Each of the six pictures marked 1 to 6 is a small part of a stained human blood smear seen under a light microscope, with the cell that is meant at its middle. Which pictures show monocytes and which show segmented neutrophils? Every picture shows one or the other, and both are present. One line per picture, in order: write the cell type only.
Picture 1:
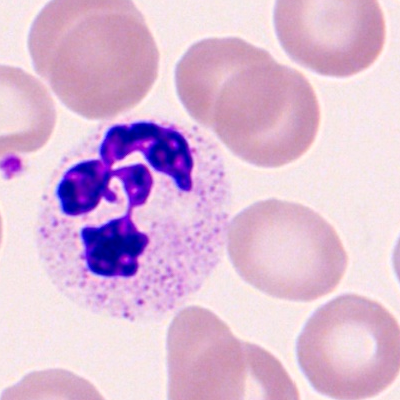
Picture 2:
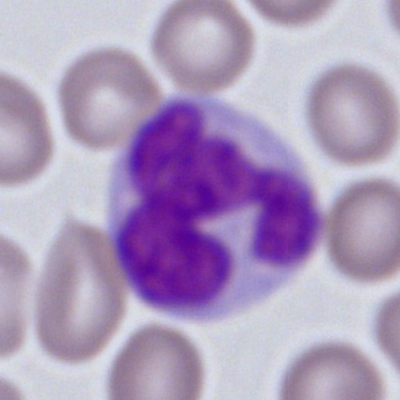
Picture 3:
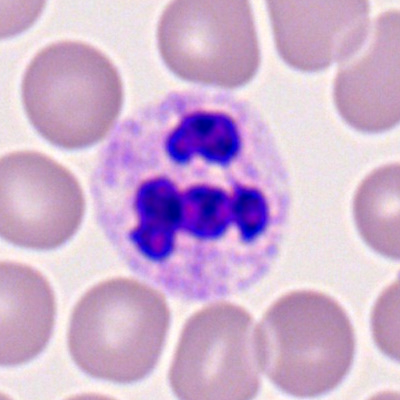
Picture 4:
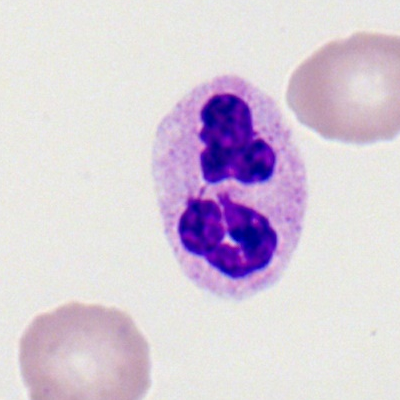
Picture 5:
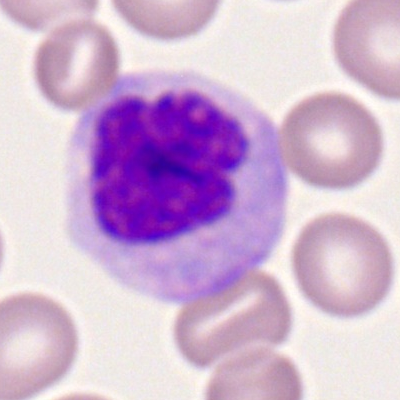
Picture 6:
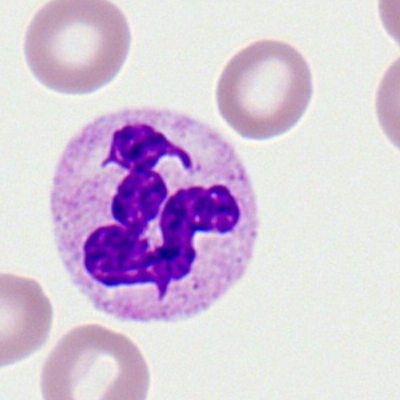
segmented neutrophil
monocyte
segmented neutrophil
segmented neutrophil
monocyte
segmented neutrophil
